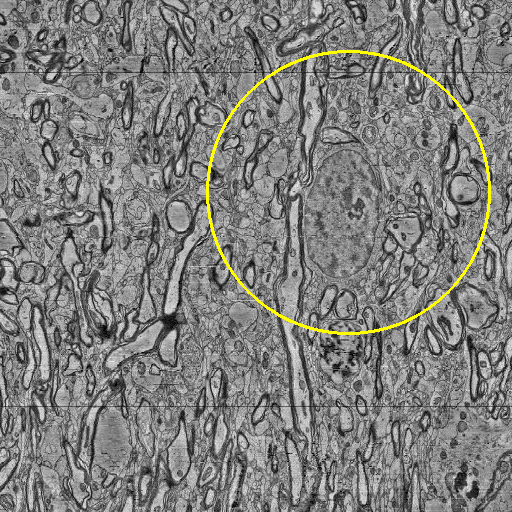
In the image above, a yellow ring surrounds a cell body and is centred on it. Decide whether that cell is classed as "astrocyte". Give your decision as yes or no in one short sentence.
No, it belongs to another kind of cell.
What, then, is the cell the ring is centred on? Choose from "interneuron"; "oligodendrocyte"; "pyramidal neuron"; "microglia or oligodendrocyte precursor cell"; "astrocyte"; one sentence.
The ring holds an oligodendrocyte at its centre.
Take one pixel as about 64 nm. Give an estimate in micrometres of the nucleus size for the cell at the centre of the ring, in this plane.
About 9 by 5 micrometres in this plane; clearly longer than it is wide.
